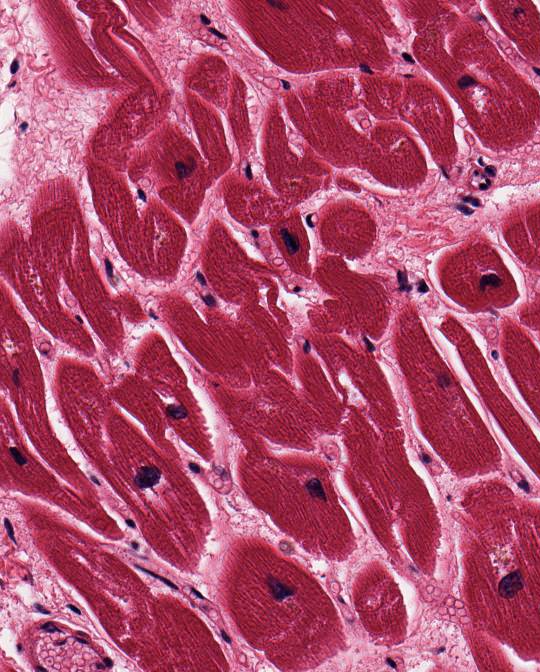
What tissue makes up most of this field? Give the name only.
myocardium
